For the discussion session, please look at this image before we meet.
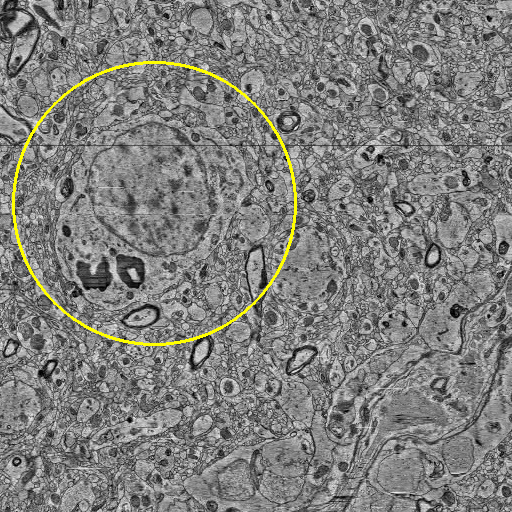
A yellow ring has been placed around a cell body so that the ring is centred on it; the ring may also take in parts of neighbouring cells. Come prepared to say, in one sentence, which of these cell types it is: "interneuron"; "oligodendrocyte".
The cell centred in the ring is an interneuron.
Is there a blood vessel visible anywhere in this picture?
Yes, one is visible.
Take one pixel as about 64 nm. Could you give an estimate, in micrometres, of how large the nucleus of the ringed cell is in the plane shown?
In this plane, roughly 9 by 8 micrometres.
